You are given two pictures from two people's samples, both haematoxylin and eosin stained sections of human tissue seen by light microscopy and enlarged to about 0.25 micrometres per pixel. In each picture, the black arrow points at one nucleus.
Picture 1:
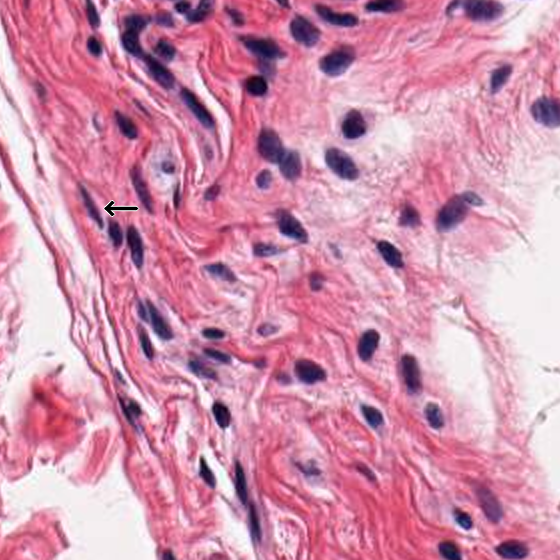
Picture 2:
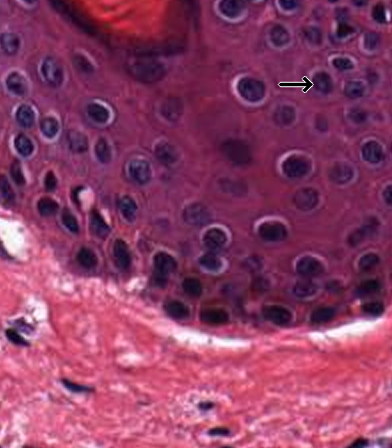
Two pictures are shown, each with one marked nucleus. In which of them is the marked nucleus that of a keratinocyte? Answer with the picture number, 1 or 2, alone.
2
